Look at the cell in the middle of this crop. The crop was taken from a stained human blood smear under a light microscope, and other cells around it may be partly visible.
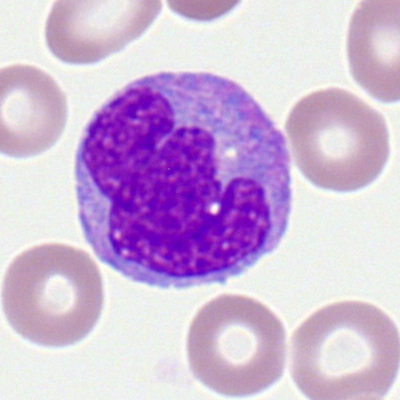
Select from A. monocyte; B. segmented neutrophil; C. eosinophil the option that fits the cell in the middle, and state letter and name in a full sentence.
Option A is correct, naming the cell in the middle as a monocyte.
